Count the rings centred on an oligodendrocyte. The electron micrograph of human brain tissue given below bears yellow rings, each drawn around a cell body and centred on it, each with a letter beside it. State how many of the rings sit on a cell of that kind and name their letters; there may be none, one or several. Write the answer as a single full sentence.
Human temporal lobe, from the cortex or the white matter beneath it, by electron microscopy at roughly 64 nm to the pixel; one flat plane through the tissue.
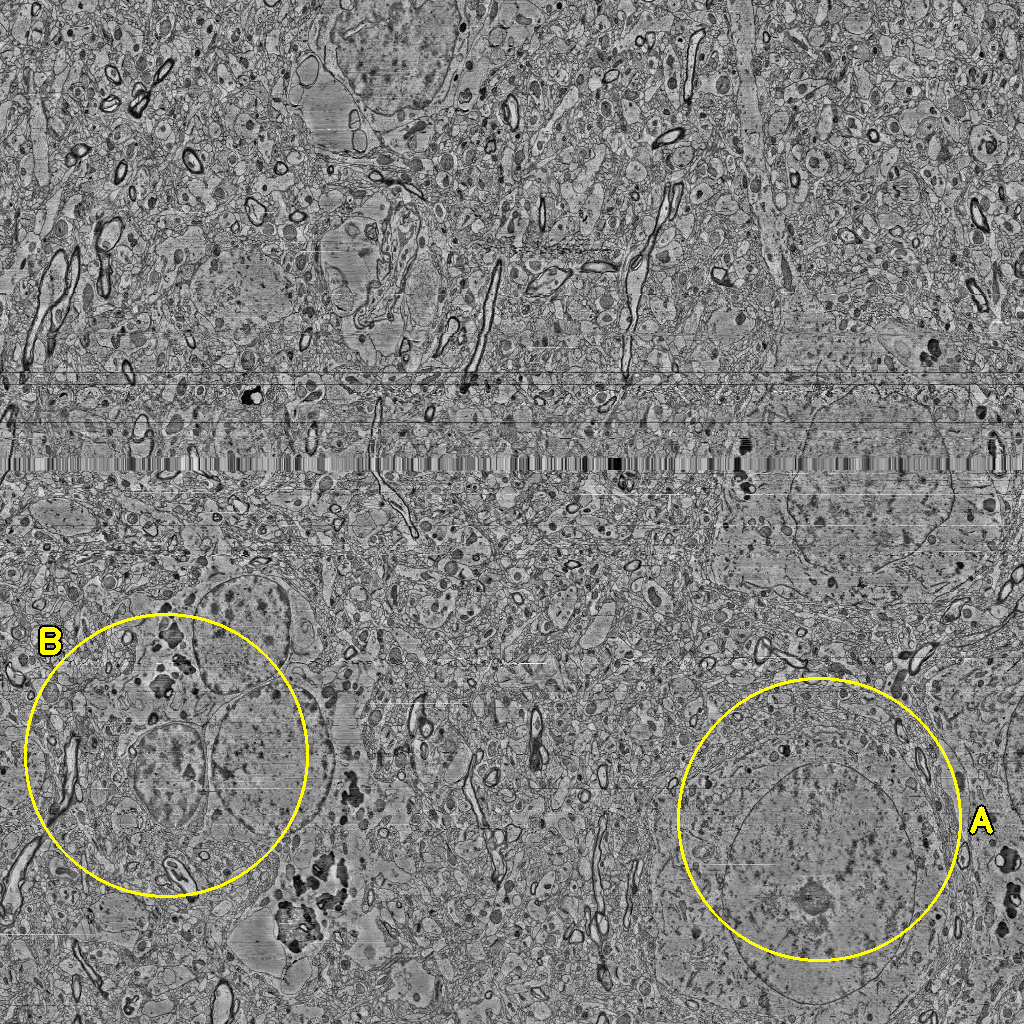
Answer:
The ring beside the letter B is the single ring centred on an oligodendrocyte.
